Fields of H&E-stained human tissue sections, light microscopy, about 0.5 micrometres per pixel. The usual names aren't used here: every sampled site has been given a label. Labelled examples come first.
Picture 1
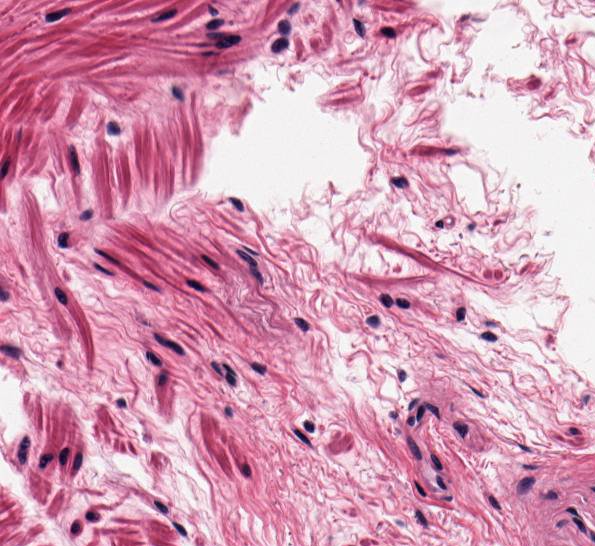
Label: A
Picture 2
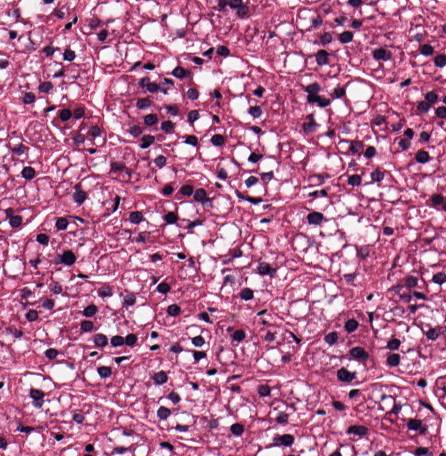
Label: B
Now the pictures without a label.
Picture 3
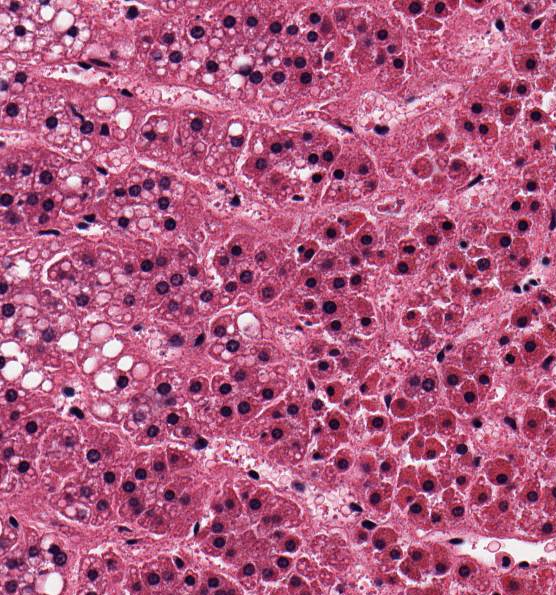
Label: B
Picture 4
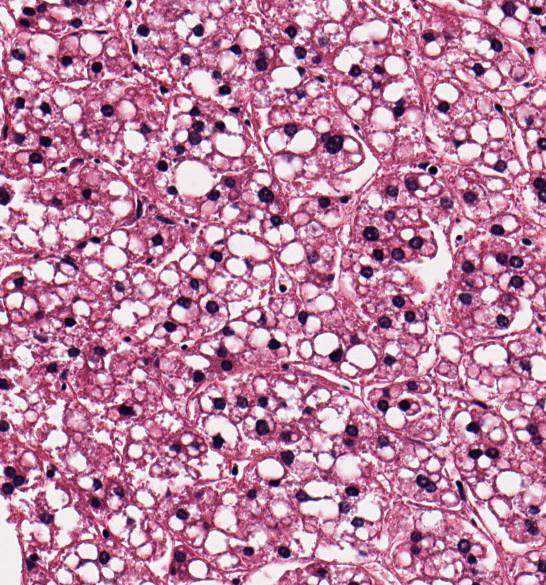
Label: B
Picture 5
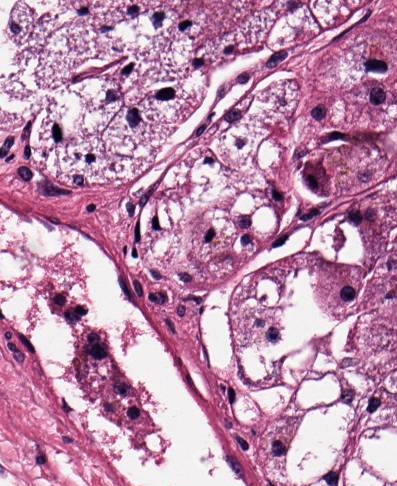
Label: B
